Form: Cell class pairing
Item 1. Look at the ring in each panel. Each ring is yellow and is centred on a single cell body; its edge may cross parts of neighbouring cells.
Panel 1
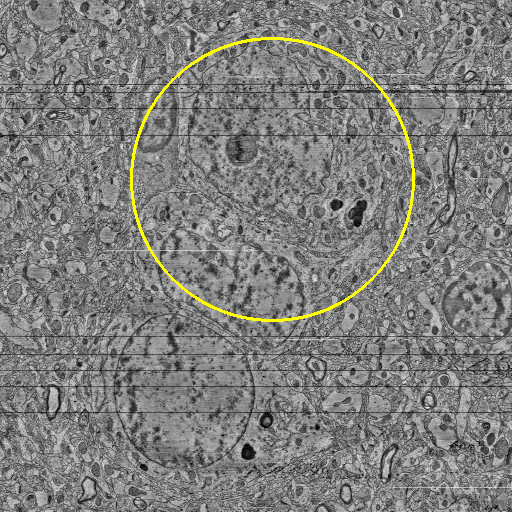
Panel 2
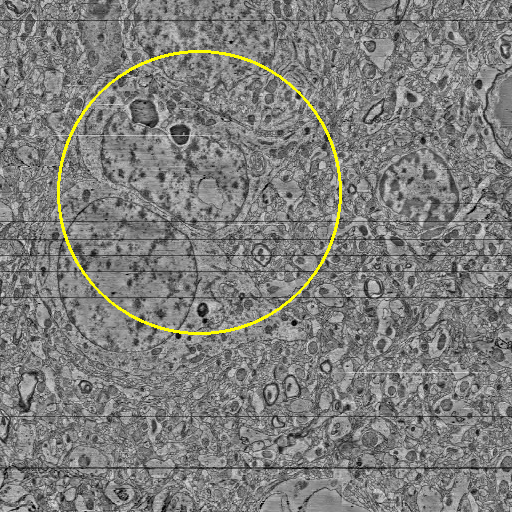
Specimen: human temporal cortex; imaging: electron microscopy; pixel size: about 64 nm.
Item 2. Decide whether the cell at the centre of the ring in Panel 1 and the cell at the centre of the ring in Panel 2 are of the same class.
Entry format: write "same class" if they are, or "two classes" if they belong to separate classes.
same class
